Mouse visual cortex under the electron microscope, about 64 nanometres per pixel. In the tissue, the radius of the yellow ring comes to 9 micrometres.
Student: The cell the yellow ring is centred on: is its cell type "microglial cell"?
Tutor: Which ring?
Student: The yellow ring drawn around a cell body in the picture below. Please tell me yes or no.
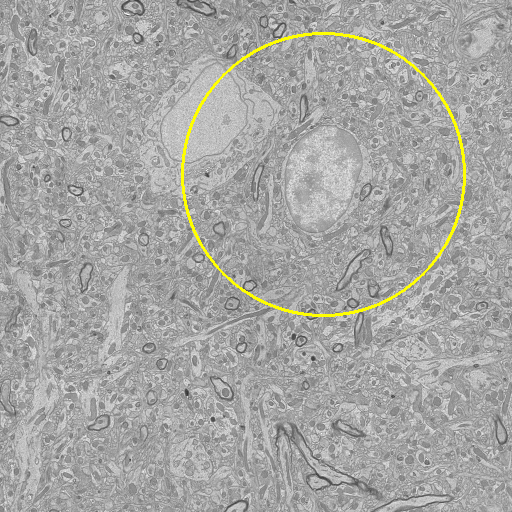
no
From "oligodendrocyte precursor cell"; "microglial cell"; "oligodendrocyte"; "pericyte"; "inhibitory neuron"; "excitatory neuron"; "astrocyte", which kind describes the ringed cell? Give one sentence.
What the ring encloses here is an oligodendrocyte.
